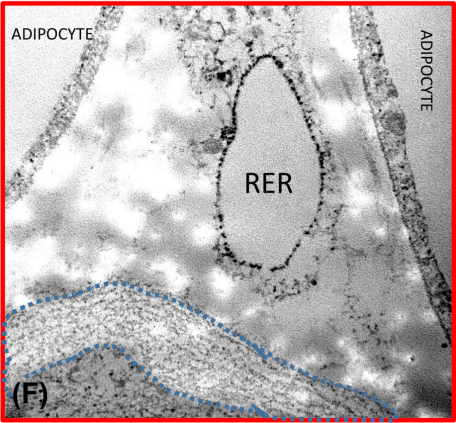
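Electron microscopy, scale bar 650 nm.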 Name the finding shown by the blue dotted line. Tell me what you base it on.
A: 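The blue dotted outline encloses a band made of many thin parallel dark lines. The band runs along the lower edge beneath the lucent space. On this evidence: Reduplicated dense lines in the basal membrane.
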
